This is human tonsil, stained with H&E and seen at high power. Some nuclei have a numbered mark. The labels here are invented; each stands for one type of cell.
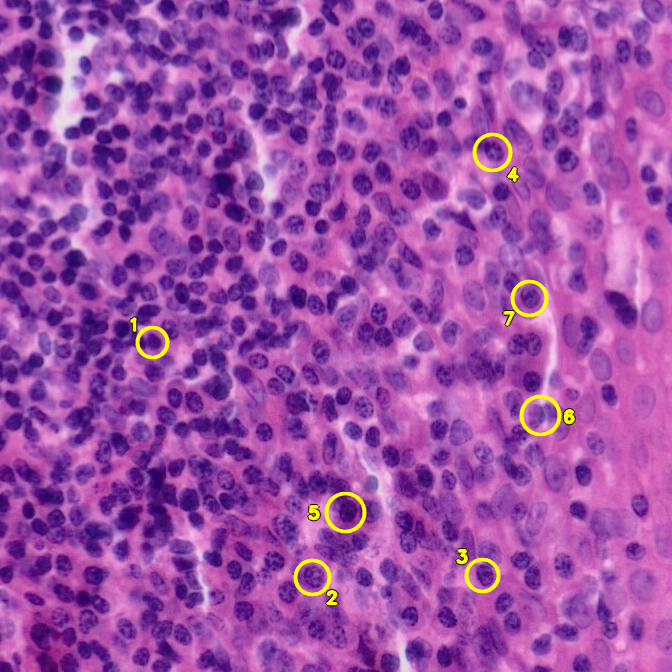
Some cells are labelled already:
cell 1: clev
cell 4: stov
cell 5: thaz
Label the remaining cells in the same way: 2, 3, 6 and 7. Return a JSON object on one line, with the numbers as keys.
{"2": "stov", "3": "stov", "6": "thaz", "7": "stov"}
